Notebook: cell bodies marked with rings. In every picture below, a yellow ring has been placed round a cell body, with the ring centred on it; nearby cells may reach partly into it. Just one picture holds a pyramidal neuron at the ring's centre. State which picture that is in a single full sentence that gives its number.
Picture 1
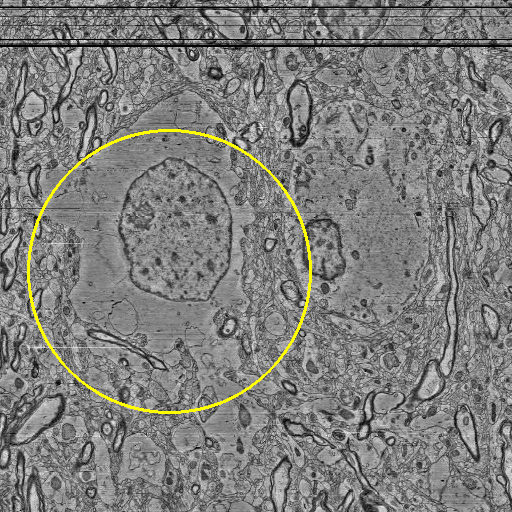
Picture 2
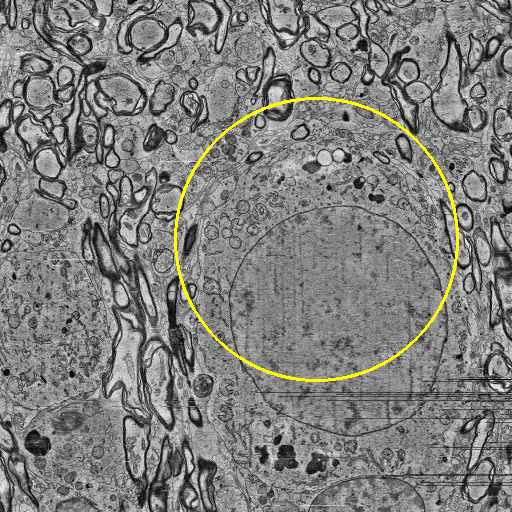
It is picture 2 whose ring has the wanted cell right at its centre.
